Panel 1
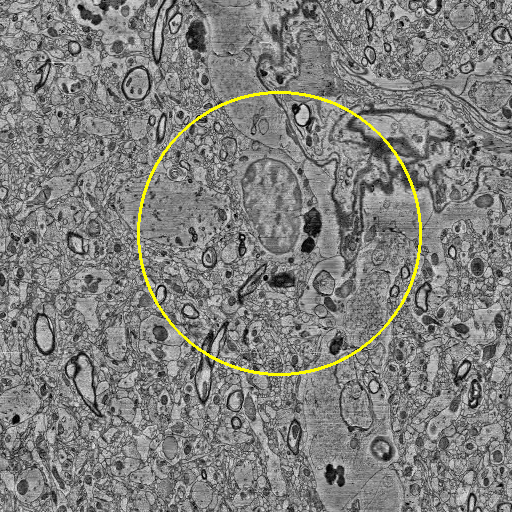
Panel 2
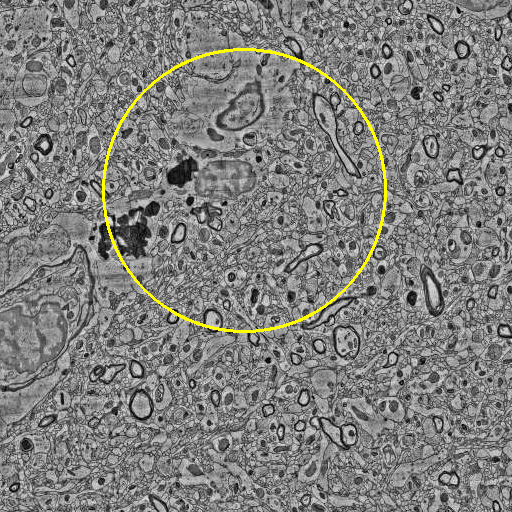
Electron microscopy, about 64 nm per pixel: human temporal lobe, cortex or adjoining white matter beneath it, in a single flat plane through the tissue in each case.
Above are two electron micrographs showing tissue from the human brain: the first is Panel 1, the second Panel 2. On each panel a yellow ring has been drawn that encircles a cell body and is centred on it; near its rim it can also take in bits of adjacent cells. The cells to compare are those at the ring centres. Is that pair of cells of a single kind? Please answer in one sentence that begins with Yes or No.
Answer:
Yes, the ring-centred cells of Panel 1 and Panel 2 belong to one kind.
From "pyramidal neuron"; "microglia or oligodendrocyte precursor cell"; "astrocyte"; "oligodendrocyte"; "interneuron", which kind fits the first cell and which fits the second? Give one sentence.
The second cell is an oligodendrocyte, just as the first is.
